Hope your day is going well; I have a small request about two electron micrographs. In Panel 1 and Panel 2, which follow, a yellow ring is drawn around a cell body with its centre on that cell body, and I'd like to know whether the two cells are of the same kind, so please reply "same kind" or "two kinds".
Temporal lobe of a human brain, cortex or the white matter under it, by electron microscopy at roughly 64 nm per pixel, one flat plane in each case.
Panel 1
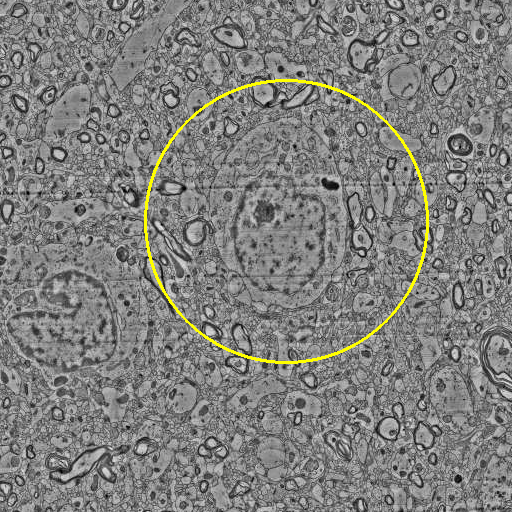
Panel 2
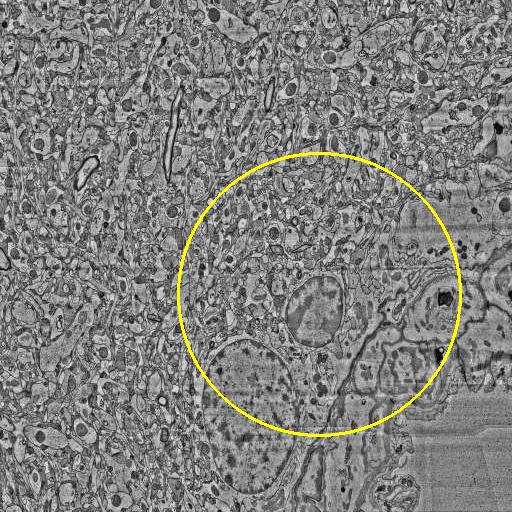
two kinds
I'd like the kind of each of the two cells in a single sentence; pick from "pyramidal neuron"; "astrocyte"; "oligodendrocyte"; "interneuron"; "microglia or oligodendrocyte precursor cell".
The first ring marks an interneuron, and the second ring marks a microglial cell or oligodendrocyte precursor cell.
